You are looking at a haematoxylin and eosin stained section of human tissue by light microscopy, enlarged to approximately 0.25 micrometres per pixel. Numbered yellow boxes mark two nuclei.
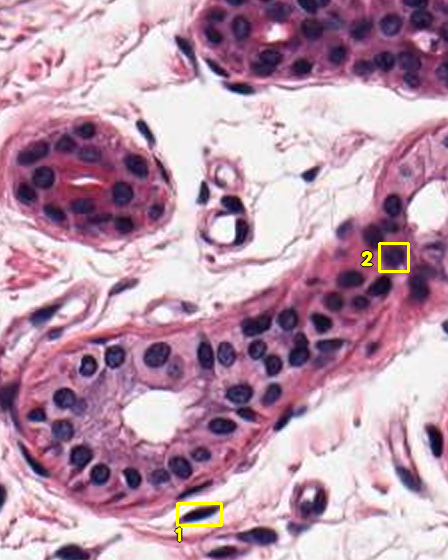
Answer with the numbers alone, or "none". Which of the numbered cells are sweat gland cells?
2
